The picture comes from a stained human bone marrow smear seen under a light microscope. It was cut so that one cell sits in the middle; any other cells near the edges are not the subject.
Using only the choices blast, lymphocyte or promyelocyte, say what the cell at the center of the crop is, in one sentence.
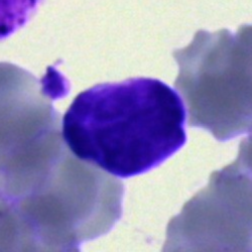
Occupying the centre of the crop is a lymphocyte.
